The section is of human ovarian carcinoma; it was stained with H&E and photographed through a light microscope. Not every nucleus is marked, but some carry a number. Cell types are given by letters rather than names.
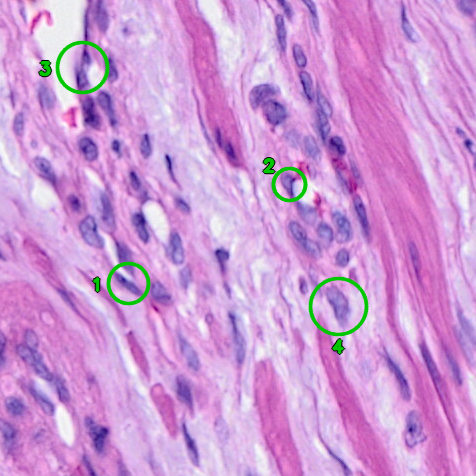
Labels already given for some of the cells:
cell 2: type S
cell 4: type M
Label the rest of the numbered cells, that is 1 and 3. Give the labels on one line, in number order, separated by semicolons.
type S; type S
